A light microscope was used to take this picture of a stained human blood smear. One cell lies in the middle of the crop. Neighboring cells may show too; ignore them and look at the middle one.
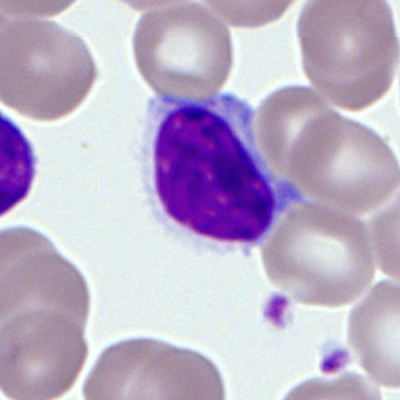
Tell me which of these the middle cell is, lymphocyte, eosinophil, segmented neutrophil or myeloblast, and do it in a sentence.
The cell sitting right in the middle is a lymphocyte.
